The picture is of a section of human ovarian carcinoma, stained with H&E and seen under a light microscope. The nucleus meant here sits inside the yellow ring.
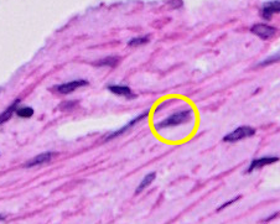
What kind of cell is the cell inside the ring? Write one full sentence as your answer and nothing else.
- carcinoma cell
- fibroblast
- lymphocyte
By cell type, the cell inside the ring is a fibroblast.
